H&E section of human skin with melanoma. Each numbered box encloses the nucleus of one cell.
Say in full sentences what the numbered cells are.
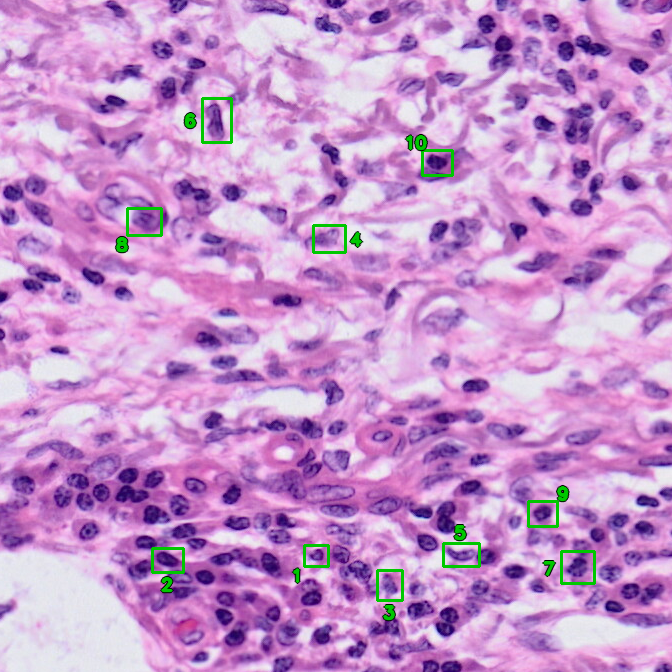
Cell 1 is a plasma cell, cell 2 is a plasma cell, cell 3 is a lymphocyte, cell 4 is a macrophage or monocyte, cell 5 is a fibroblast or myofibroblast, cell 6 is a macrophage or monocyte, cell 7 is a plasma cell, cell 8 is an endothelial cell, cell 9 is a plasma cell and cell 10 is a plasma cell.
